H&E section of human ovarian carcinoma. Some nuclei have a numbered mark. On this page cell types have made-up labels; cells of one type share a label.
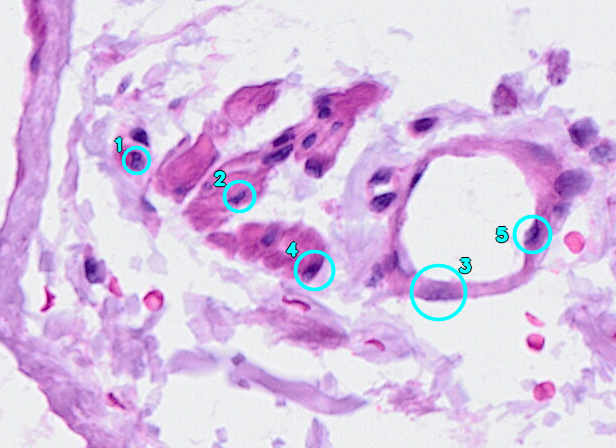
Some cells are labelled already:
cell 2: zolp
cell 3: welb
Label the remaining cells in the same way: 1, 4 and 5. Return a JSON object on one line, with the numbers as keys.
{"1": "welb", "4": "zolp", "5": "welb"}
